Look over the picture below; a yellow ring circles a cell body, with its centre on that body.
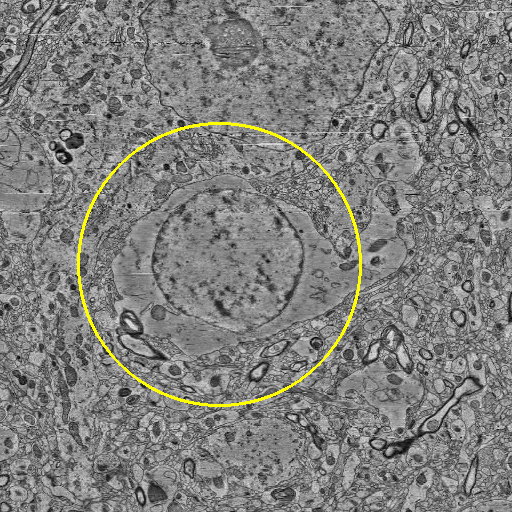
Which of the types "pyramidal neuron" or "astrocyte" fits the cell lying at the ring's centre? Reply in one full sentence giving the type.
The picture shows an astrocyte at the centre of the yellow ring.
